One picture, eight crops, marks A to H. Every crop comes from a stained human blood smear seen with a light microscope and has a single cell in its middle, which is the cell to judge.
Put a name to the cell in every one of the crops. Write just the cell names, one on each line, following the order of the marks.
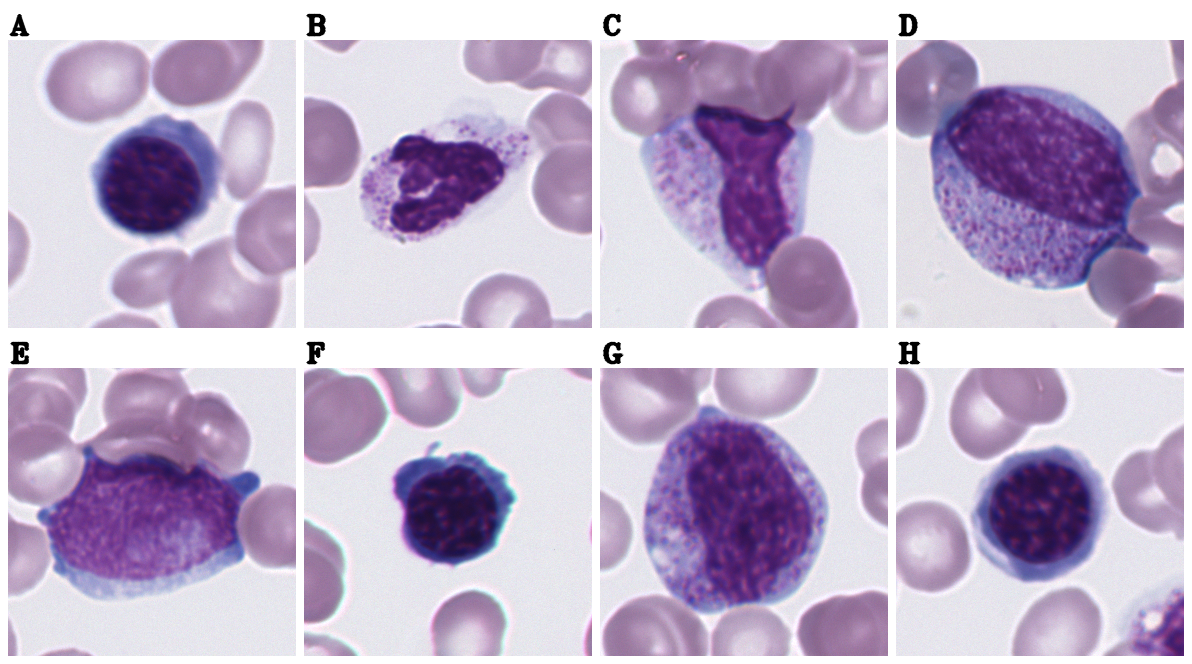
normoblast
segmented neutrophil
band neutrophil
promyelocyte
myeloblast
normoblast
promyelocyte
normoblast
